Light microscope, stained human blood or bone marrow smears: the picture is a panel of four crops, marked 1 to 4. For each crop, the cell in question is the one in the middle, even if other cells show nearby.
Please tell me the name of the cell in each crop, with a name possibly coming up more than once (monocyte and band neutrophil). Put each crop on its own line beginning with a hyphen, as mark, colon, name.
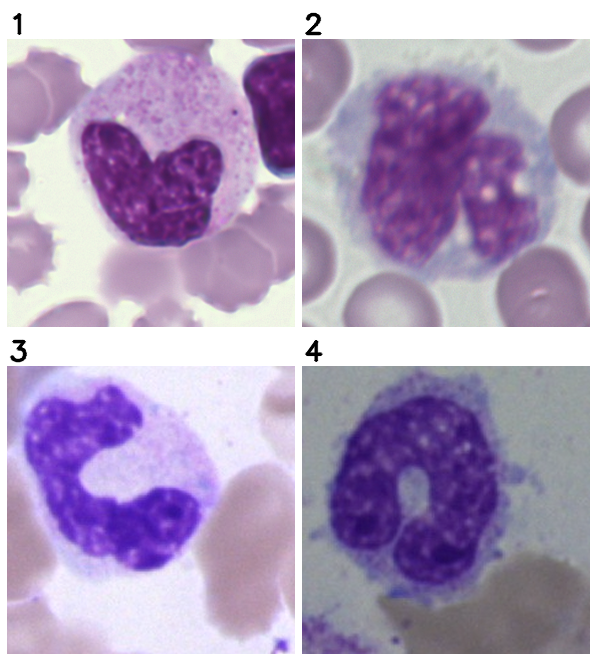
- 1: band neutrophil
- 2: monocyte
- 3: band neutrophil
- 4: monocyte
